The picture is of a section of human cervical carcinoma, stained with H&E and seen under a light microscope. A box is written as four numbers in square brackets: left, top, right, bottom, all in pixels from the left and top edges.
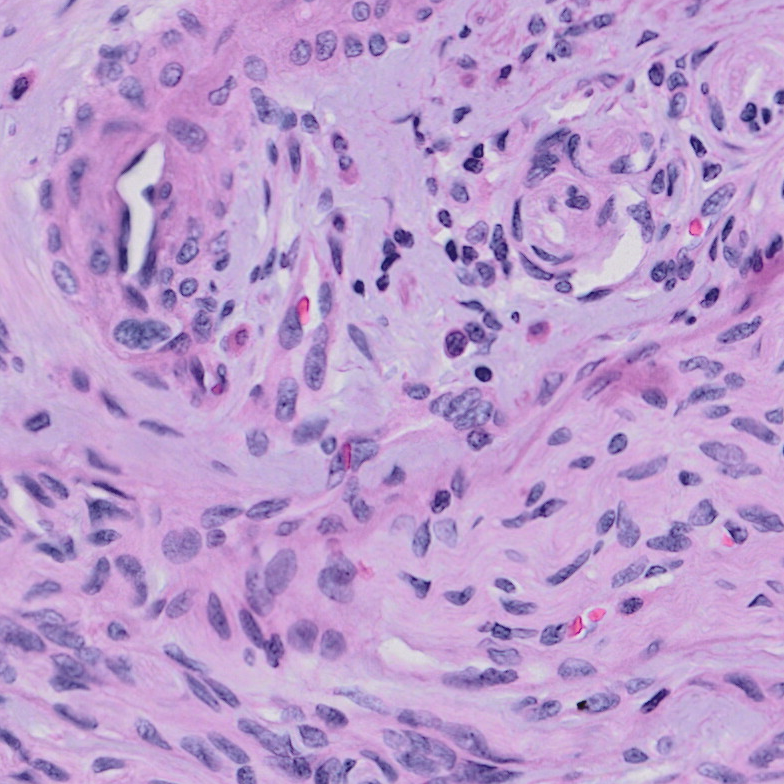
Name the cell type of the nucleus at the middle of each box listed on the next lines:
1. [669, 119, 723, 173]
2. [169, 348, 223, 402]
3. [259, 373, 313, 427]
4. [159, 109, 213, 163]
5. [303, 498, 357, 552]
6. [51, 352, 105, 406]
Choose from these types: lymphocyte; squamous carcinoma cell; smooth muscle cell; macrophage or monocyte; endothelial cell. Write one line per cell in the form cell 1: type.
cell 1: lymphocyte
cell 2: endothelial cell
cell 3: endothelial cell
cell 4: smooth muscle cell
cell 5: smooth muscle cell
cell 6: endothelial cell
